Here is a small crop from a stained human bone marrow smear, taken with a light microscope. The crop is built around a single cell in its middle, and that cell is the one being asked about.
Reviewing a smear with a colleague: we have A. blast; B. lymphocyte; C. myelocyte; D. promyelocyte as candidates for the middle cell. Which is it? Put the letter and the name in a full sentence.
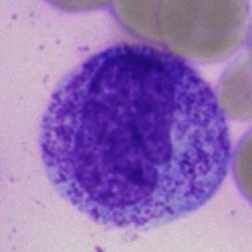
The cell in the middle is correctly identified as a myelocyte in option C.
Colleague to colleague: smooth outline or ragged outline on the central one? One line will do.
Its outline is smooth, with no projections anywhere along the edge.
